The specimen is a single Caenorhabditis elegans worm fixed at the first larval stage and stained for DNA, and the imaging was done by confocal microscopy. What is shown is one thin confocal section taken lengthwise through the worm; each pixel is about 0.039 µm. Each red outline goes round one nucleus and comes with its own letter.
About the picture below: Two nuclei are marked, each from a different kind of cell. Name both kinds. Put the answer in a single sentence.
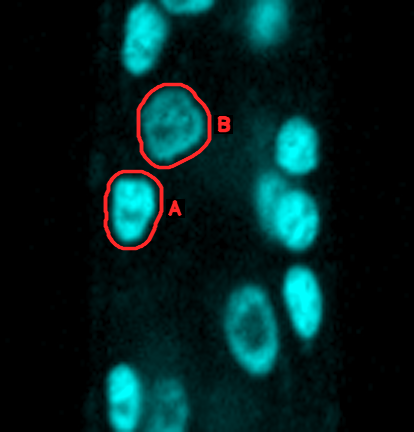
A is in a body wall muscle cell and B is in an intestinal cell.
